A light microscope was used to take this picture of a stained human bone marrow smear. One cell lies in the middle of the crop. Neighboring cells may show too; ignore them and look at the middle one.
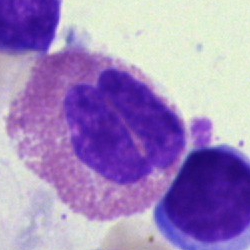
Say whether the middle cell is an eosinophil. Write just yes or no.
yes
